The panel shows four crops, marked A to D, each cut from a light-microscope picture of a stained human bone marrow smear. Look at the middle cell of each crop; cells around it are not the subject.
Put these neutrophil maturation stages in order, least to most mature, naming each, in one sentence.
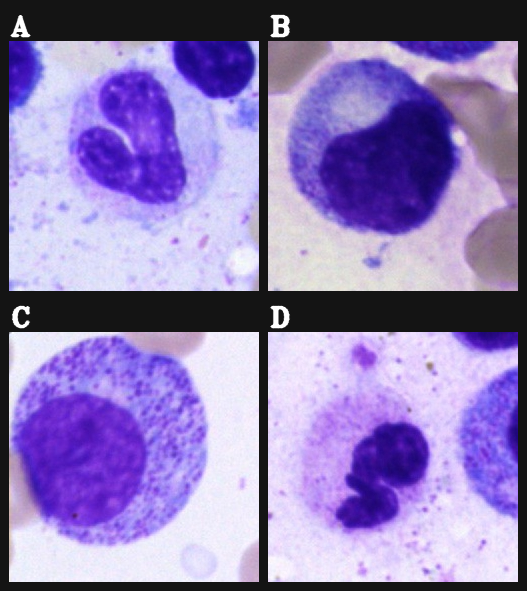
From the least mature to the most mature, the sequence runs crop C (a promyelocyte), crop B (a metamyelocyte), crop A (a band neutrophil) and crop D (a segmented neutrophil).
